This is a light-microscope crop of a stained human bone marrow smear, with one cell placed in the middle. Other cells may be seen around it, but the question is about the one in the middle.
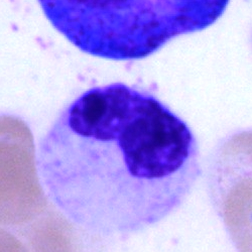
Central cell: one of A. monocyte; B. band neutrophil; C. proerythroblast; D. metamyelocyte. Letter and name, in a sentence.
At the centre of the crop lies a metamyelocyte, which makes option D correct.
